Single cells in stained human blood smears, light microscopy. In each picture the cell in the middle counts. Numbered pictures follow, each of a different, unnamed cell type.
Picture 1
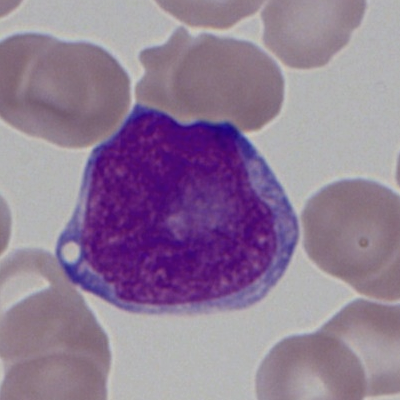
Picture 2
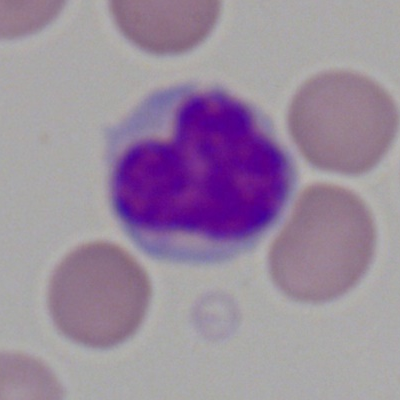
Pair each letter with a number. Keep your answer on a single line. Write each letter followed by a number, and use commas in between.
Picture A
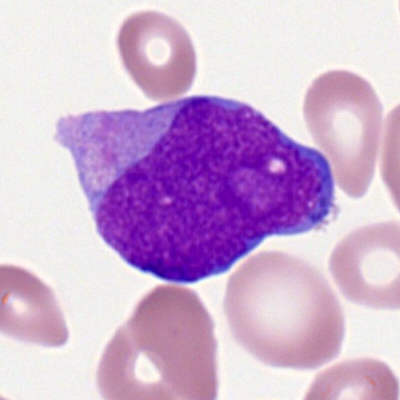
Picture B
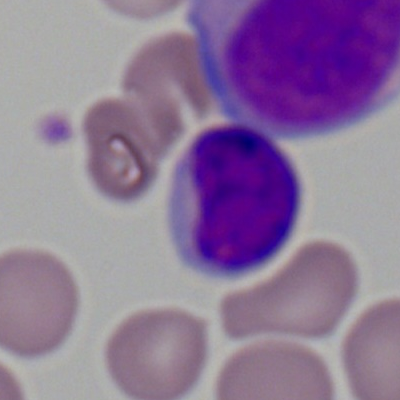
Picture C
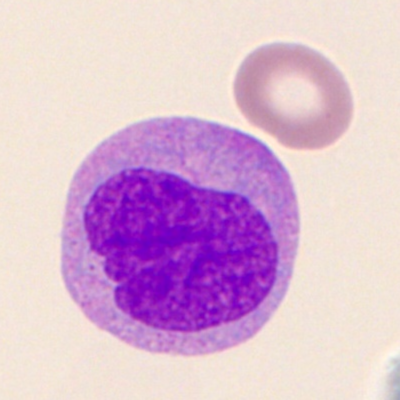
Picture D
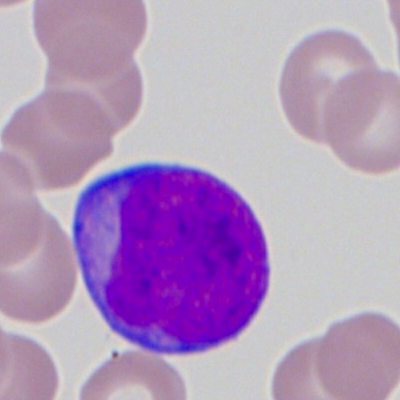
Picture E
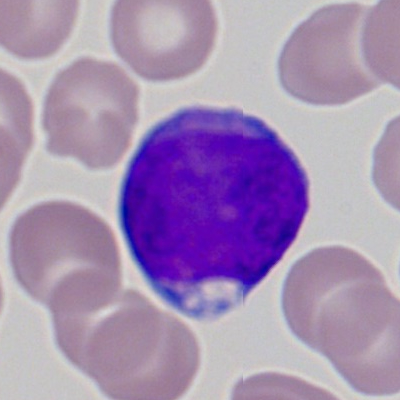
A 1, B 2, C 1, D 1, E 1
